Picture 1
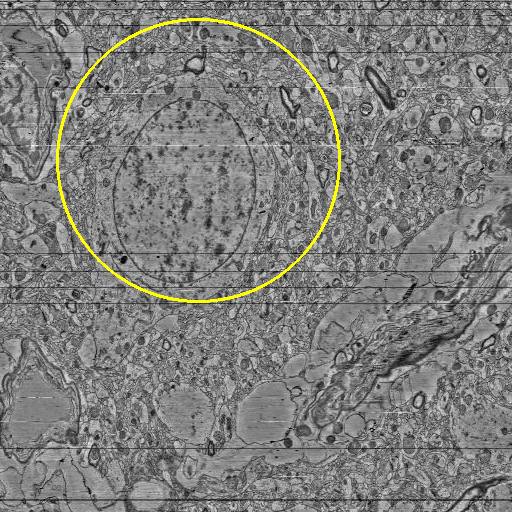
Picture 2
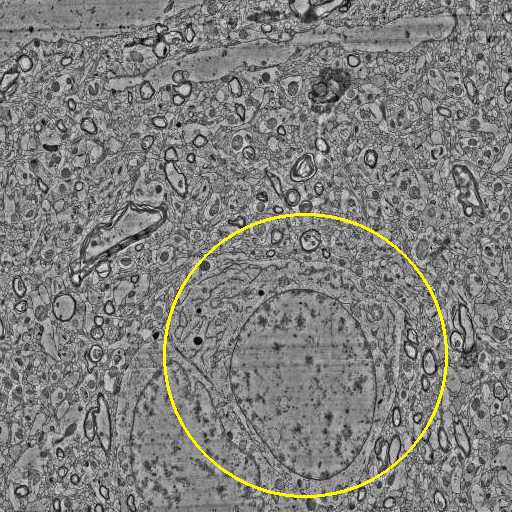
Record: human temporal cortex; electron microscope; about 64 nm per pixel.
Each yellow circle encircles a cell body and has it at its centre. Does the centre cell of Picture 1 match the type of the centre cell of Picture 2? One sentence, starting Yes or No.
Yes, the cell centred in Picture 1 and the one in Picture 2 share a type.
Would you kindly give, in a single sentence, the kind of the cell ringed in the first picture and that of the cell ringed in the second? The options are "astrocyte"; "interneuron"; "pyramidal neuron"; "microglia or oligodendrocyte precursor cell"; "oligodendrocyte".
In the first picture and in the second, the ring is centred on a pyramidal neuron.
